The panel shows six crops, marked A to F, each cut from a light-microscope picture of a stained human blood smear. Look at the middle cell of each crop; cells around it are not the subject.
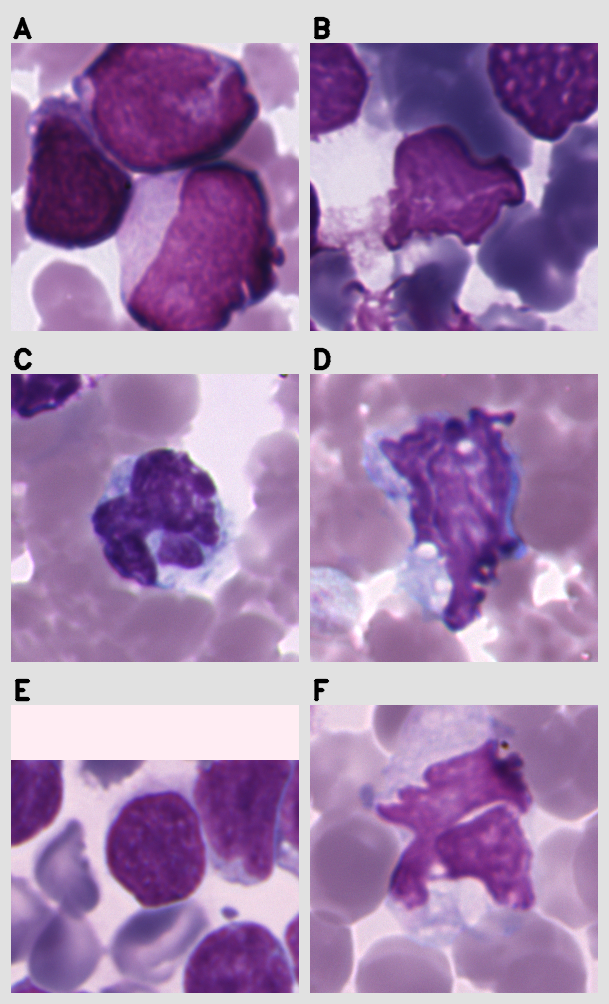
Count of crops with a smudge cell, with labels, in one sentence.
Of the several crops, crop B is the one with a smudge cell.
